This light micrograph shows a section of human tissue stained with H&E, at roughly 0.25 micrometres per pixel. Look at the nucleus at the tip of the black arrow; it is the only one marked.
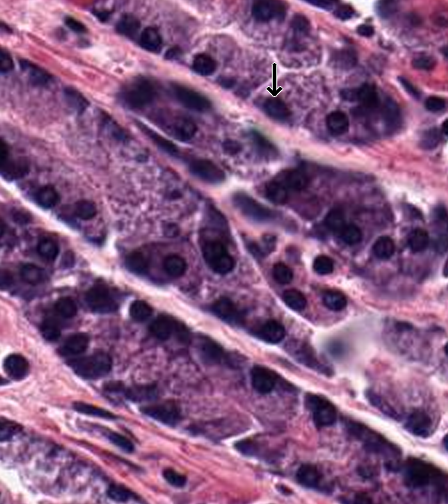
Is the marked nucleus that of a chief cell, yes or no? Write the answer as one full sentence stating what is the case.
Yes, the marked nucleus belongs, in this section, to a chief cell.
